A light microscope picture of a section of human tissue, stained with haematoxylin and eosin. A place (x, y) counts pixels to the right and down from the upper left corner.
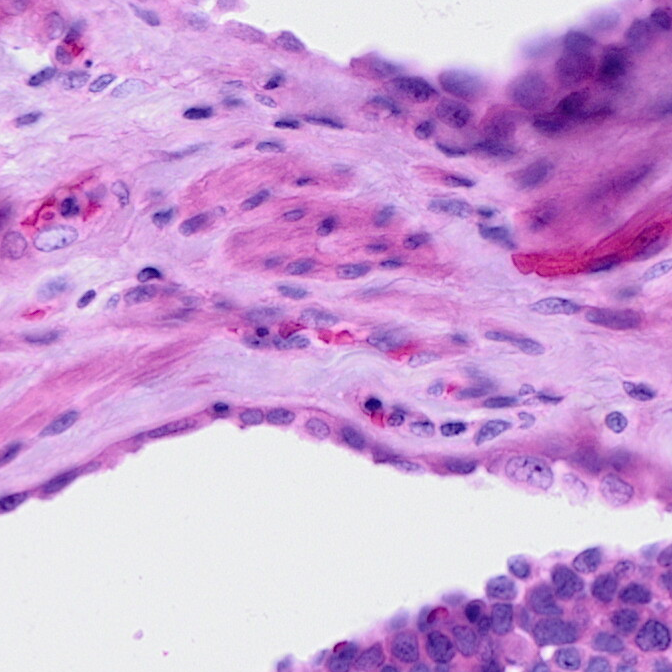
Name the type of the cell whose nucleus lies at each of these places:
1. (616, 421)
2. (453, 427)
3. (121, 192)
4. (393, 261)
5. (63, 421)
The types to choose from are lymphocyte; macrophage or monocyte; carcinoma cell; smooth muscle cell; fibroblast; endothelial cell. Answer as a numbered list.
1. lymphocyte
2. lymphocyte
3. endothelial cell
4. smooth muscle cell
5. smooth muscle cell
